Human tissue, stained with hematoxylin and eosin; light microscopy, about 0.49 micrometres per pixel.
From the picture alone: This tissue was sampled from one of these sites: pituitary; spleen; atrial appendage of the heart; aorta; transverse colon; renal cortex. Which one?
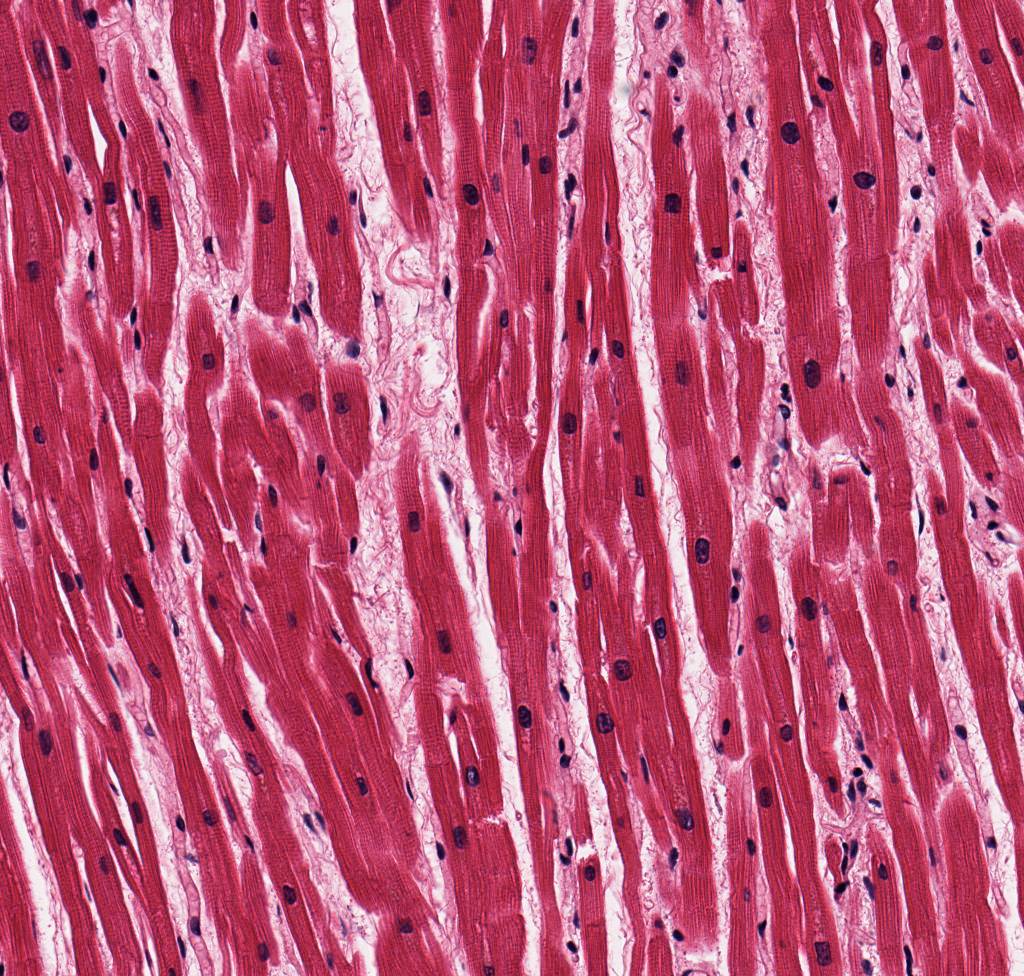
atrial appendage of the heart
